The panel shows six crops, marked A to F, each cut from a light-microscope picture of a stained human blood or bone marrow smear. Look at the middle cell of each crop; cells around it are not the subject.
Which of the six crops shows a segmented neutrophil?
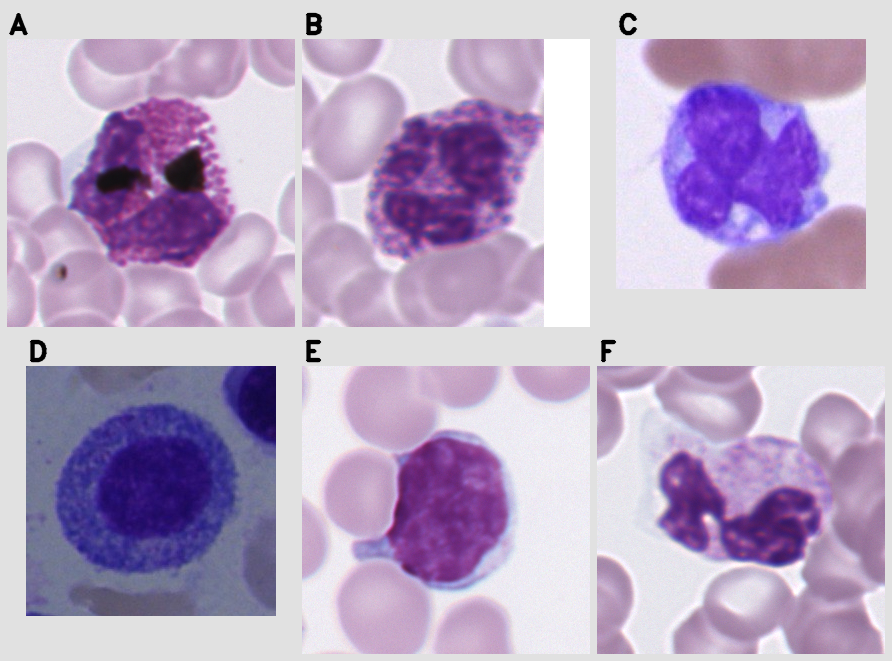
F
